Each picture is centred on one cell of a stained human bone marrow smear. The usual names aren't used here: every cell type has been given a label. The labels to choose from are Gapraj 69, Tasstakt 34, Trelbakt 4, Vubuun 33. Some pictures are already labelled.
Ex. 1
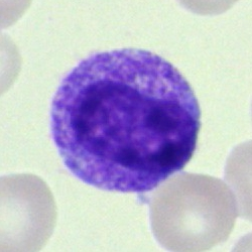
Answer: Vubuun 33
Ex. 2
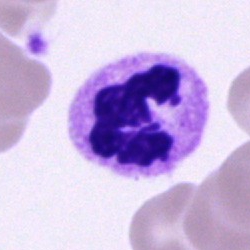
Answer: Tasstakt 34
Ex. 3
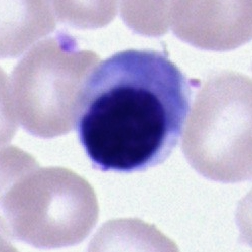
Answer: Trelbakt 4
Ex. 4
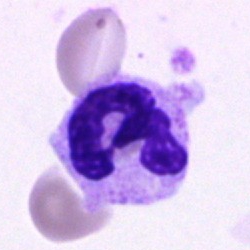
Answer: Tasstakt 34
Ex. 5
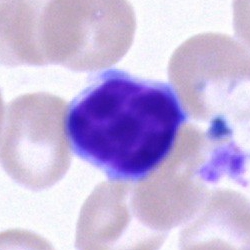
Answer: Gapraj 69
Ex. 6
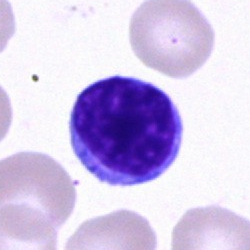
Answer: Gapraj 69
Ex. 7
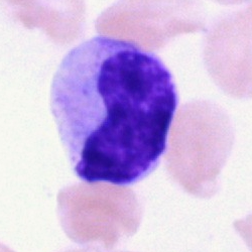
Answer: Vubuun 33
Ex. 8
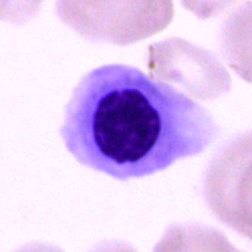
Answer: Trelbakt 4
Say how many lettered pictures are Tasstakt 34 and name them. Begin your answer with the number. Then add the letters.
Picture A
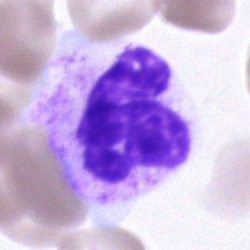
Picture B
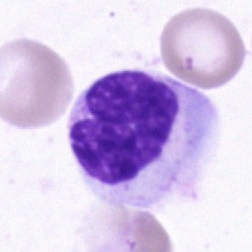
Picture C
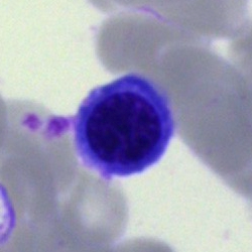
1, namely A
